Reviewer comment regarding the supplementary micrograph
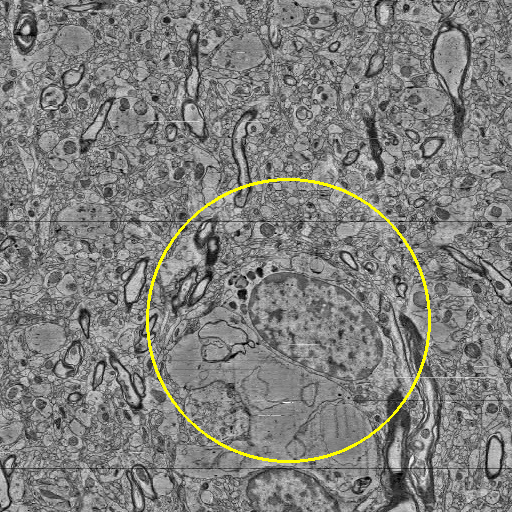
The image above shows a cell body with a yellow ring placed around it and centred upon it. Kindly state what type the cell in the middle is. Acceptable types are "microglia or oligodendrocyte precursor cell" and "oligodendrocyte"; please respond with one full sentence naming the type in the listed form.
In the image above, the cell on which the yellow ring is centred is a microglial cell or oligodendrocyte precursor cell.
